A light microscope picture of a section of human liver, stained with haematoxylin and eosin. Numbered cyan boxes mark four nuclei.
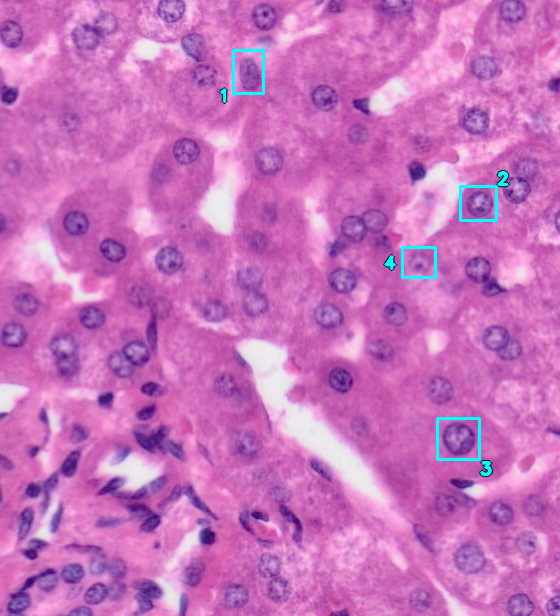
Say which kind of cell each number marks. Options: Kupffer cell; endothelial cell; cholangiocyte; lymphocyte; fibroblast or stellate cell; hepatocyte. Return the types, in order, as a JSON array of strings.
["Kupffer cell", "hepatocyte", "hepatocyte", "hepatocyte"]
